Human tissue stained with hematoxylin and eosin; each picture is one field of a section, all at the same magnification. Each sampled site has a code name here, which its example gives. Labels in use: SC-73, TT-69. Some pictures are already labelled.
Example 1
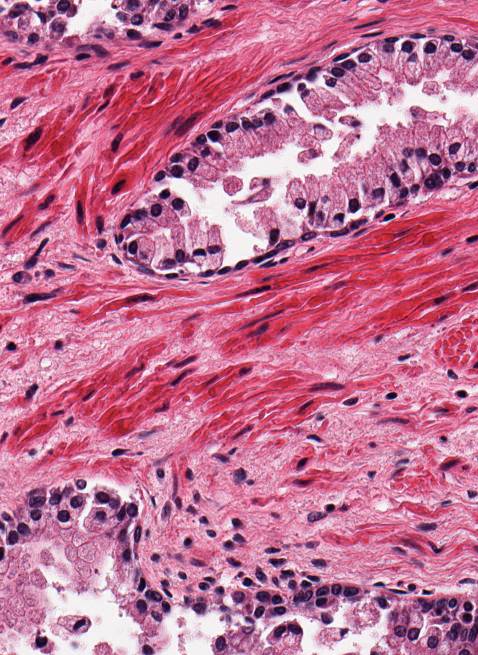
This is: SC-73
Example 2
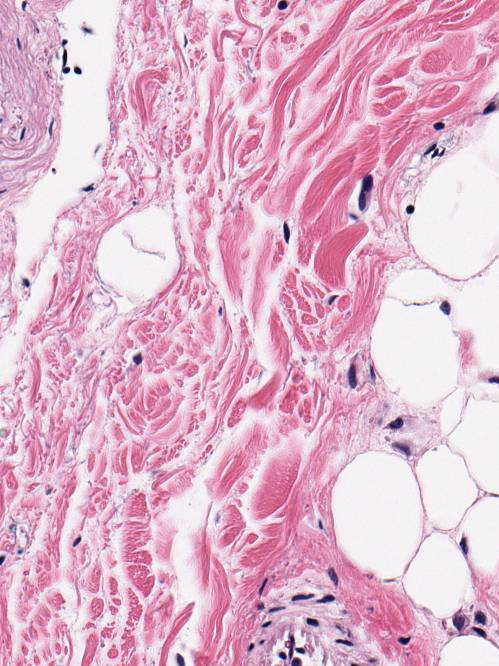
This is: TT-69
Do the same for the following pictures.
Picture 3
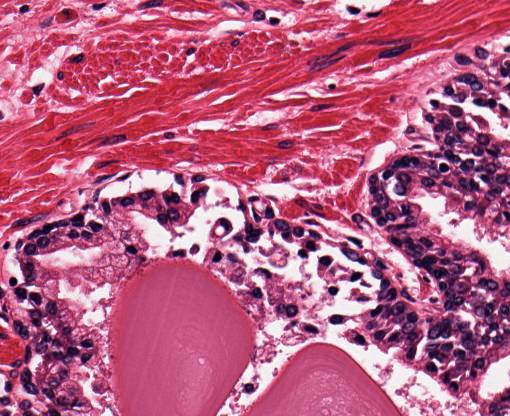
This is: SC-73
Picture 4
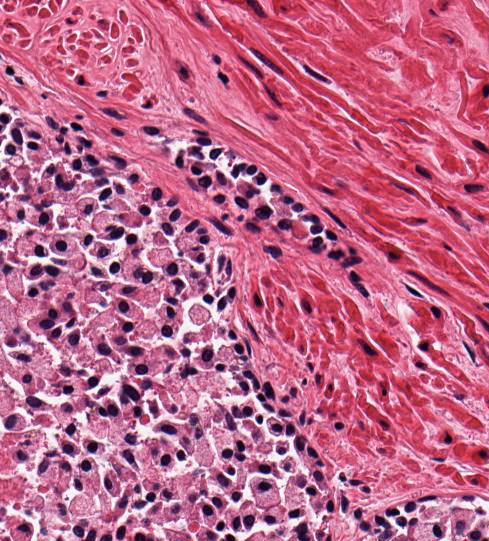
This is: SC-73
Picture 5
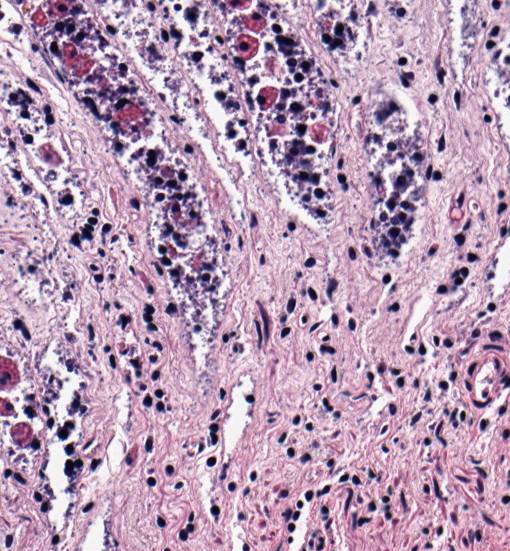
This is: TT-69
